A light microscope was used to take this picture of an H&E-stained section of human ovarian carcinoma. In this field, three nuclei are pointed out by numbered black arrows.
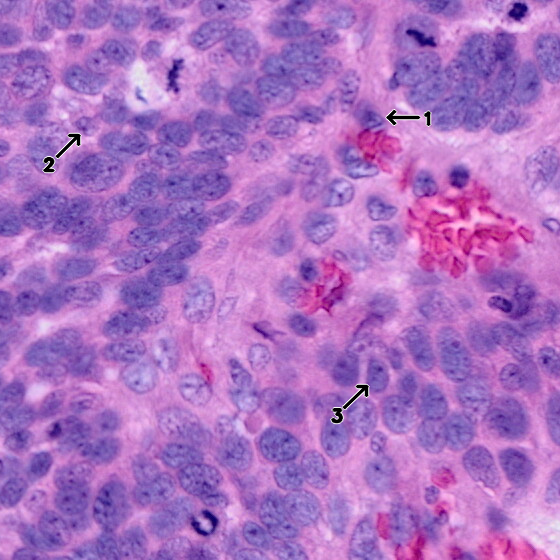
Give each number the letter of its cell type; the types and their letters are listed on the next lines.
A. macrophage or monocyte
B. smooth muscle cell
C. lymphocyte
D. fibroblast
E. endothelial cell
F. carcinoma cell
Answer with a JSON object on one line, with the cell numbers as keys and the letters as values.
{"1": "E", "2": "A", "3": "F"}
